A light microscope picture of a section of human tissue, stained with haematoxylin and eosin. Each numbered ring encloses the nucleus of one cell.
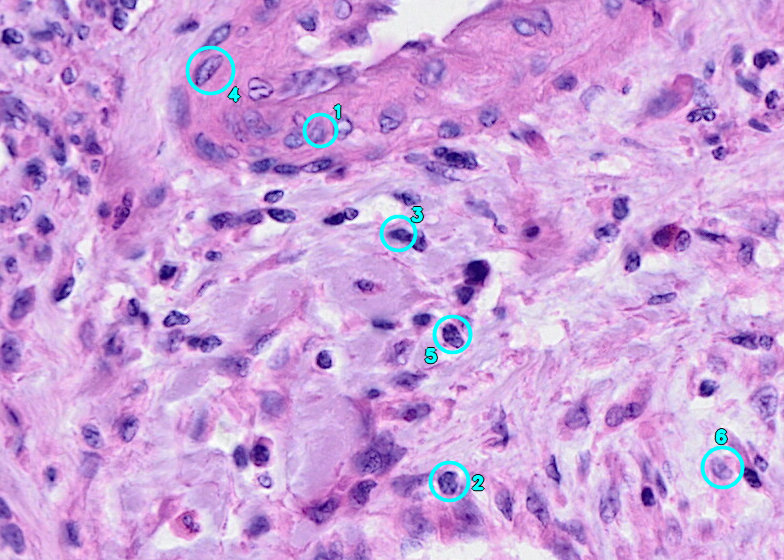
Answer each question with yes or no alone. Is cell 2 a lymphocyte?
yes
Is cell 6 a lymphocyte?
no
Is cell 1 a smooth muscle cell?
yes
